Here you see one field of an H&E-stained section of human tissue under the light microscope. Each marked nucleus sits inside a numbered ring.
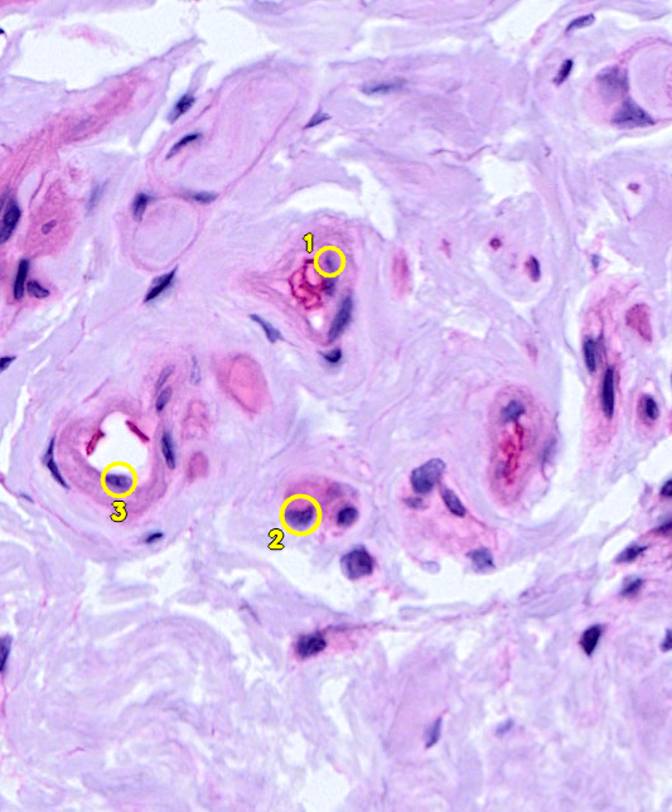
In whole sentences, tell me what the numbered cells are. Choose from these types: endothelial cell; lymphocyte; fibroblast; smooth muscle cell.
Cells 1 and 3 are endothelial cells. Cell 2 is a smooth muscle cell.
